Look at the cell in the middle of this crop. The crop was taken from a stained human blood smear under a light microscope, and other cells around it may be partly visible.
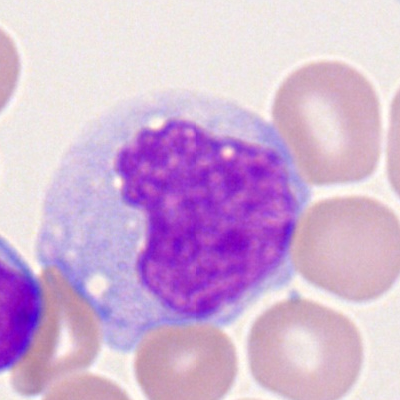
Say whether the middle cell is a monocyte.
yes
